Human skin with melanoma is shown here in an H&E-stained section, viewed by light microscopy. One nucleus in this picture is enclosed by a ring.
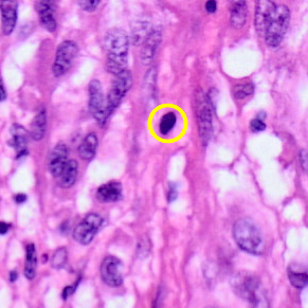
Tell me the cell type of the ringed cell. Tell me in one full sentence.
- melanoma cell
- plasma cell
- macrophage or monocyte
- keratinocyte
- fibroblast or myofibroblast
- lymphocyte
The cell type of the ringed cell is that of a lymphocyte.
